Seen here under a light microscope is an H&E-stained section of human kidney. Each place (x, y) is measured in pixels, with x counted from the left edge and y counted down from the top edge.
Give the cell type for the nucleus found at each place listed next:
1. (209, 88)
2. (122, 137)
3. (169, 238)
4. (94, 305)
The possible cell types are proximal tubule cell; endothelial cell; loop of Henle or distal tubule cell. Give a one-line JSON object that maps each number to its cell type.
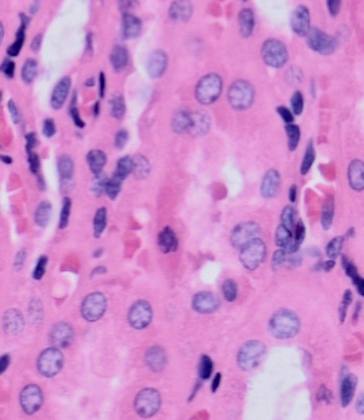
{"1": "proximal tubule cell", "2": "loop of Henle or distal tubule cell", "3": "proximal tubule cell", "4": "proximal tubule cell"}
